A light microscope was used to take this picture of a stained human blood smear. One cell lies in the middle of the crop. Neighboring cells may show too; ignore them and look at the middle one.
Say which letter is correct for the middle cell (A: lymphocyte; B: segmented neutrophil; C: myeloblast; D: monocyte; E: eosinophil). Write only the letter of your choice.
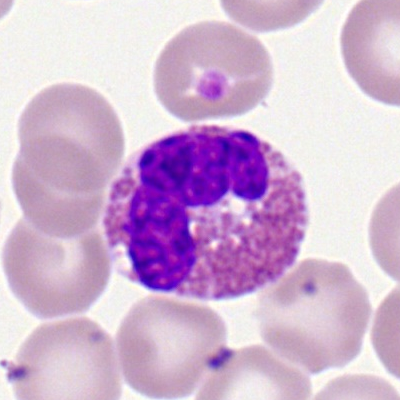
E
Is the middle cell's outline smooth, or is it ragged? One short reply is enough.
If you check the edge, you will find it smooth without projections.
